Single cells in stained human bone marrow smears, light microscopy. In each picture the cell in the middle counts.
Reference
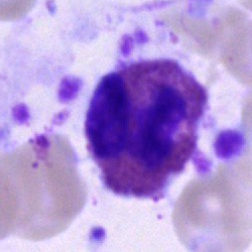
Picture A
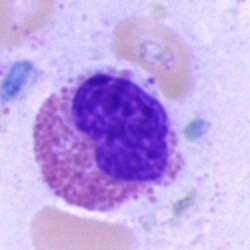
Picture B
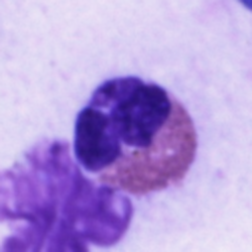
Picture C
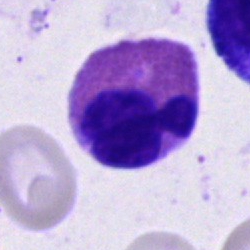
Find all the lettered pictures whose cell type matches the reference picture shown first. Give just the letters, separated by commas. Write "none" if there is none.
A, B, C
